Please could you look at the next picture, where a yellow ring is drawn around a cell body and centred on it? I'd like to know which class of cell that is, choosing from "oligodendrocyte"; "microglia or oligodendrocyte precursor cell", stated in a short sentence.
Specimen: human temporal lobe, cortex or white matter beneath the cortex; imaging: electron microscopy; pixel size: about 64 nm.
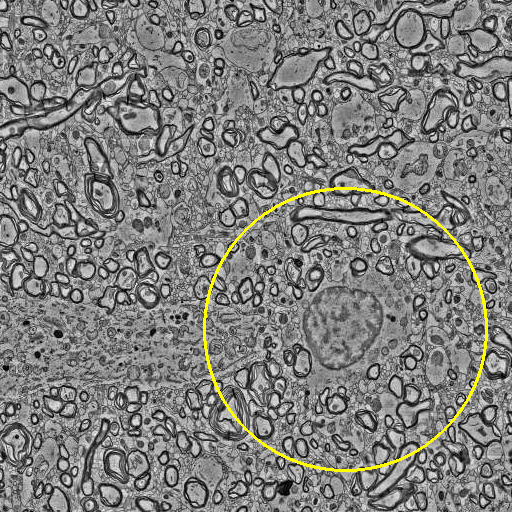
The ring's centre lies on an oligodendrocyte.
